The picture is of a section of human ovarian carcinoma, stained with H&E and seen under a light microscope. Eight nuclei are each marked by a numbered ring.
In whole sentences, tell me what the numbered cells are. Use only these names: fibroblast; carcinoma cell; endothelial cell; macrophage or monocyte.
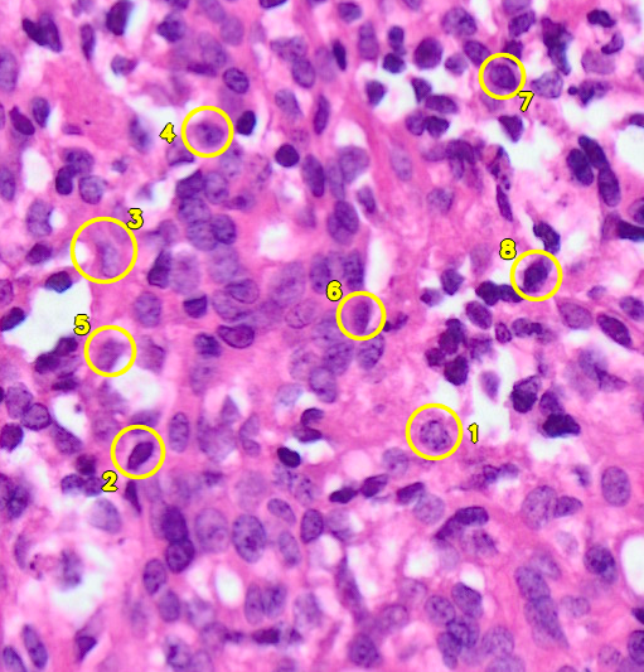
Cell 1 is a macrophage or monocyte, cell 2 is a carcinoma cell, cell 3 is an endothelial cell, cell 4 is a macrophage or monocyte, cell 5 is a carcinoma cell, cell 6 is a carcinoma cell, cell 7 is a carcinoma cell and cell 8 is a carcinoma cell.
